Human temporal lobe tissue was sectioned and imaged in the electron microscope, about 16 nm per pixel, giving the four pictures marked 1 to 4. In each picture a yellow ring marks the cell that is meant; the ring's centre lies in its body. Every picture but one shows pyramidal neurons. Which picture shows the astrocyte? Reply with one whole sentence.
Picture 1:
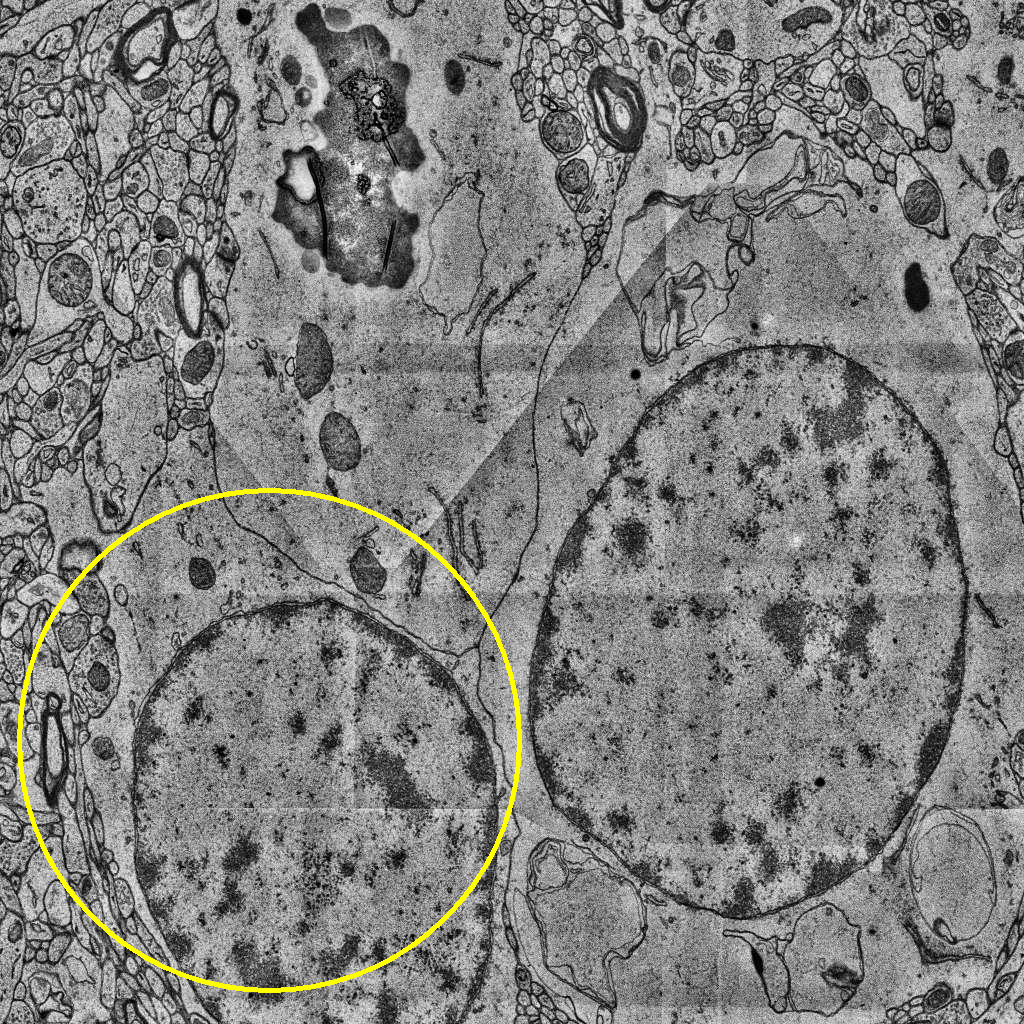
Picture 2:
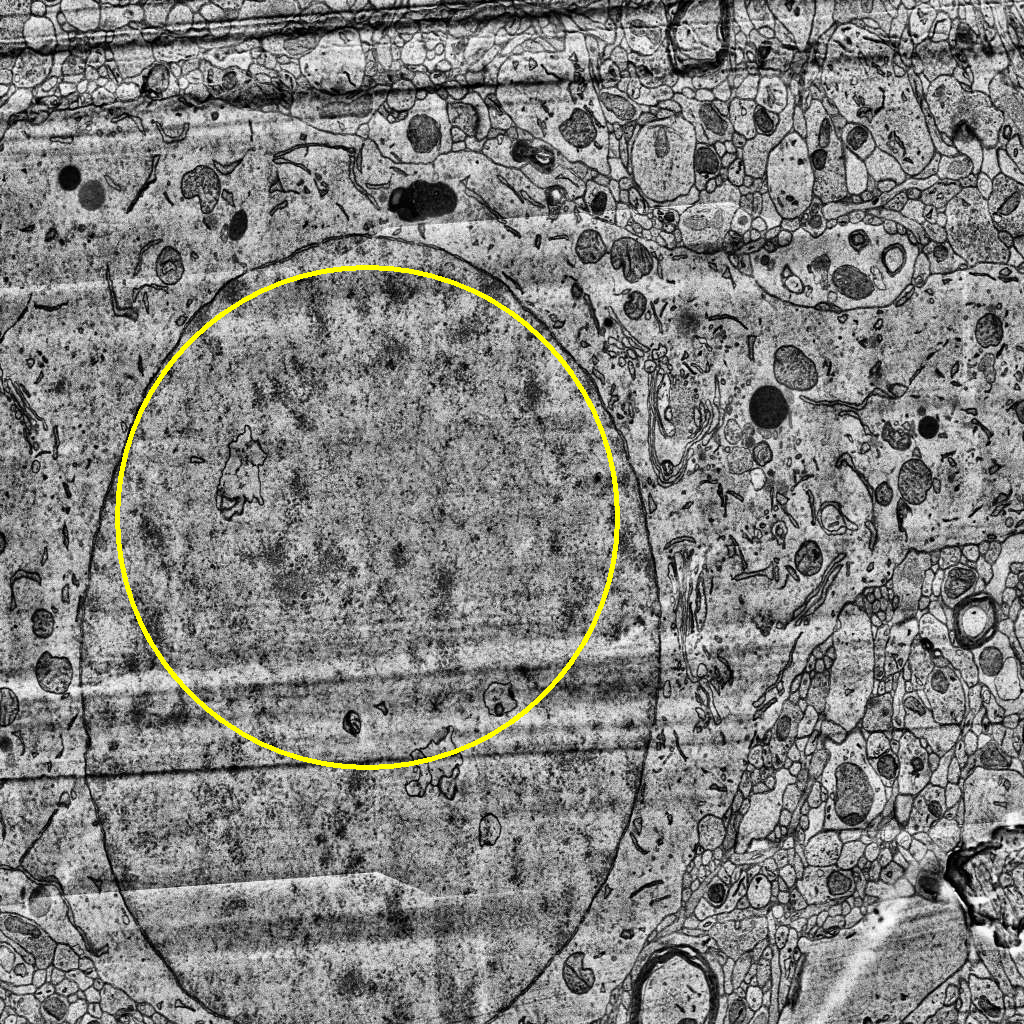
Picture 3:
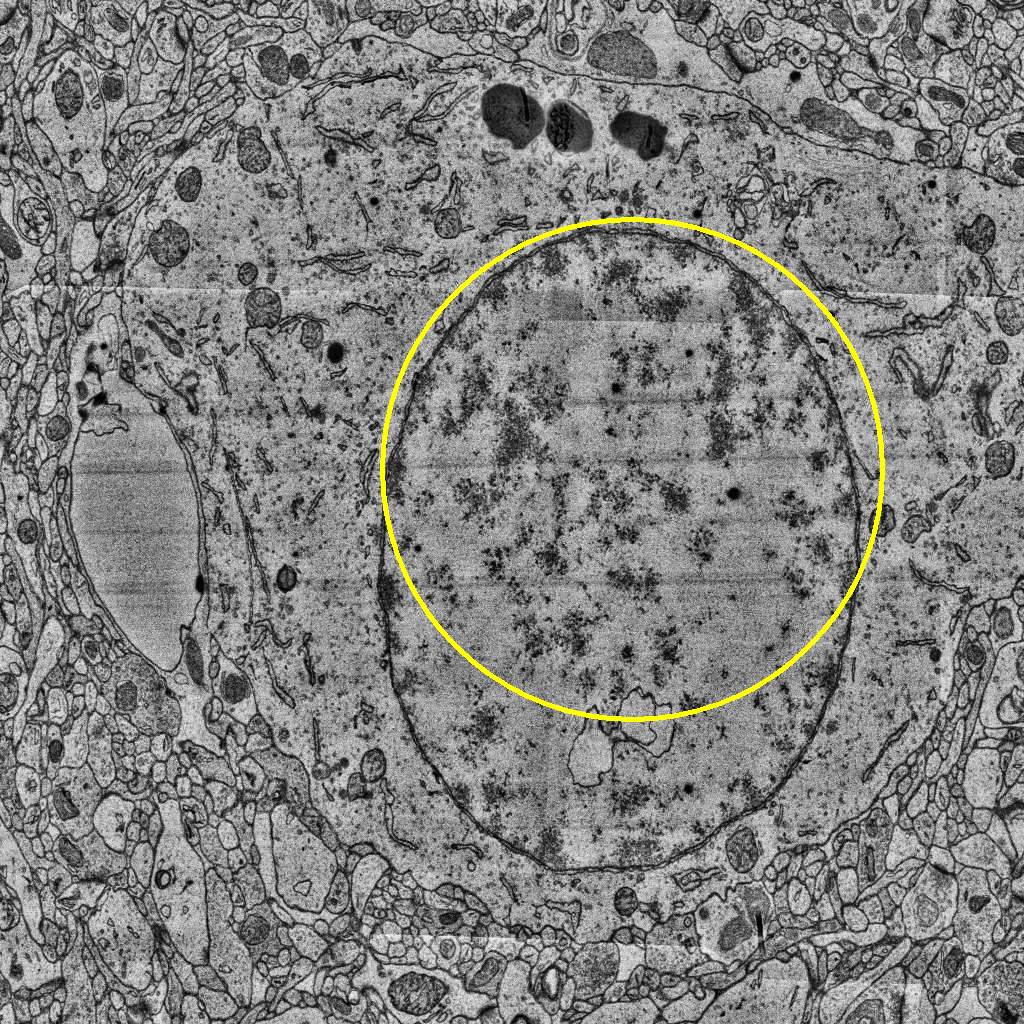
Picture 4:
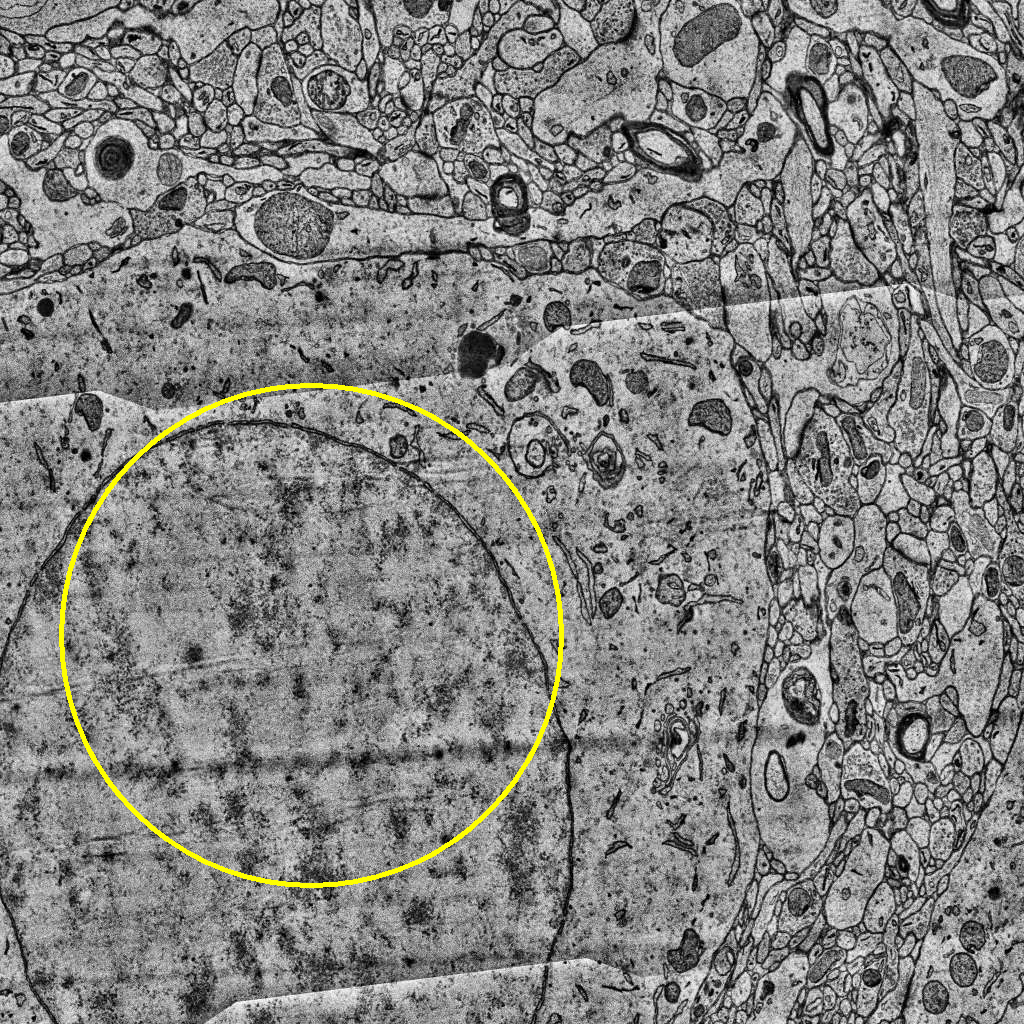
The cell in picture 1 is the astrocyte.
